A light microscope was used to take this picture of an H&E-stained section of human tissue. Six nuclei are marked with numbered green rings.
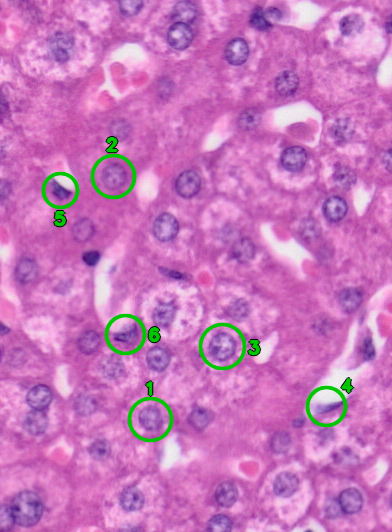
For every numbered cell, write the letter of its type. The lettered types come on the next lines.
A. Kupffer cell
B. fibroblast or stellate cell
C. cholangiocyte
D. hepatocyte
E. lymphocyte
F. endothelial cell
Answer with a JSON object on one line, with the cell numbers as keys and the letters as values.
{"1": "D", "2": "D", "3": "D", "4": "F", "5": "F", "6": "F"}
